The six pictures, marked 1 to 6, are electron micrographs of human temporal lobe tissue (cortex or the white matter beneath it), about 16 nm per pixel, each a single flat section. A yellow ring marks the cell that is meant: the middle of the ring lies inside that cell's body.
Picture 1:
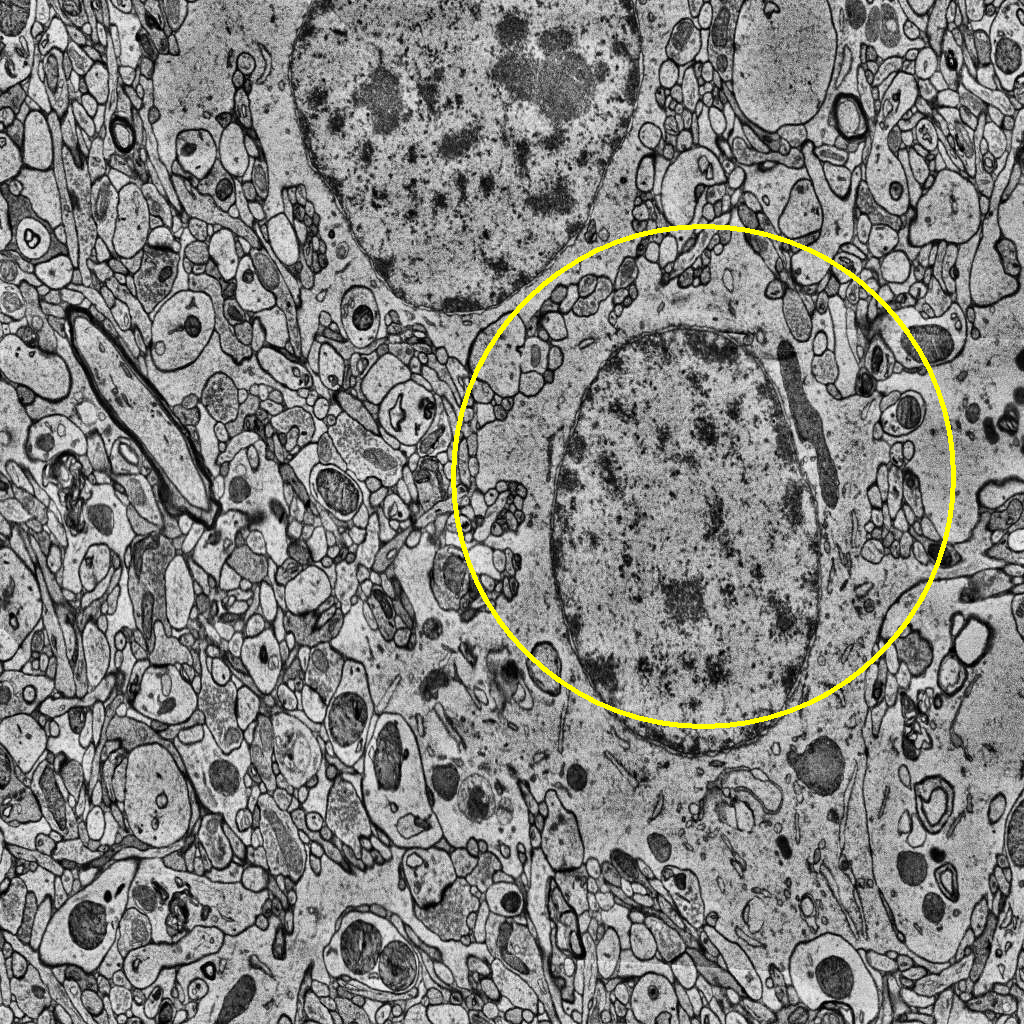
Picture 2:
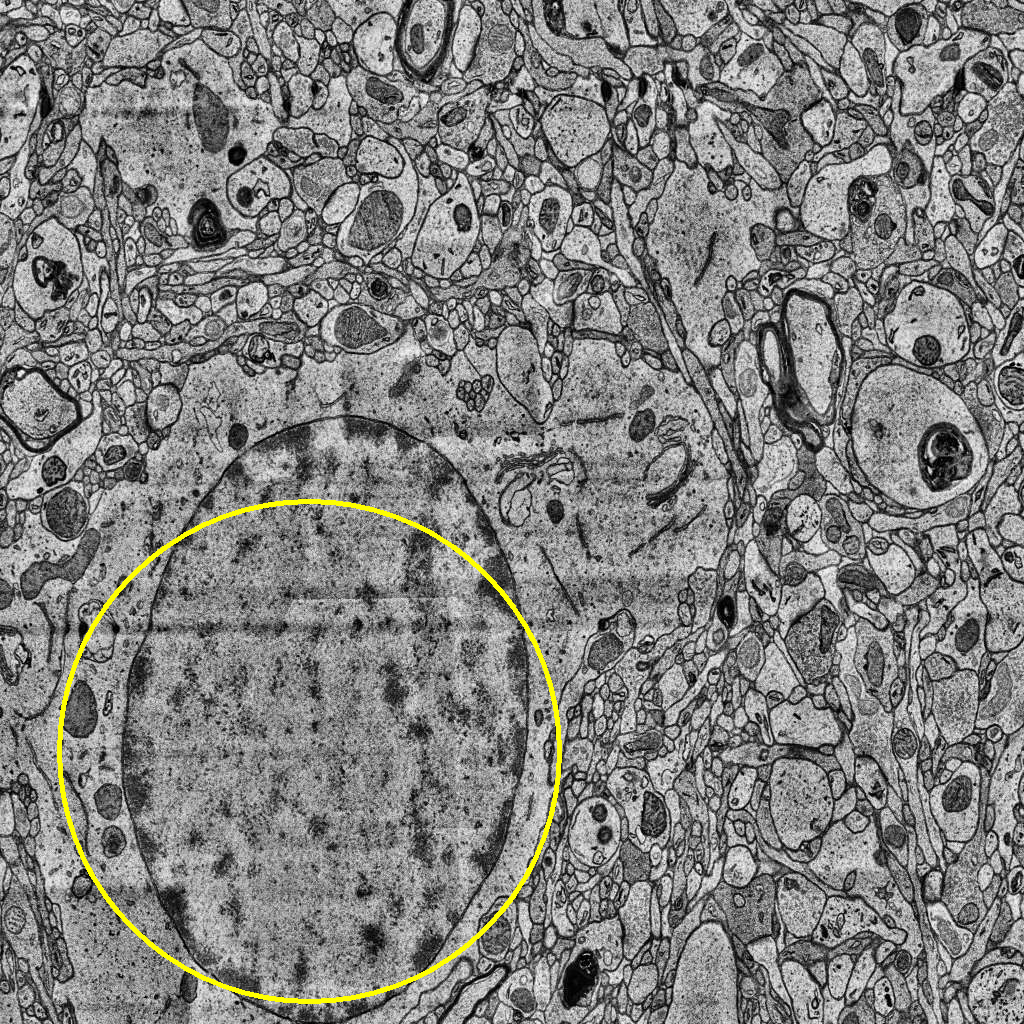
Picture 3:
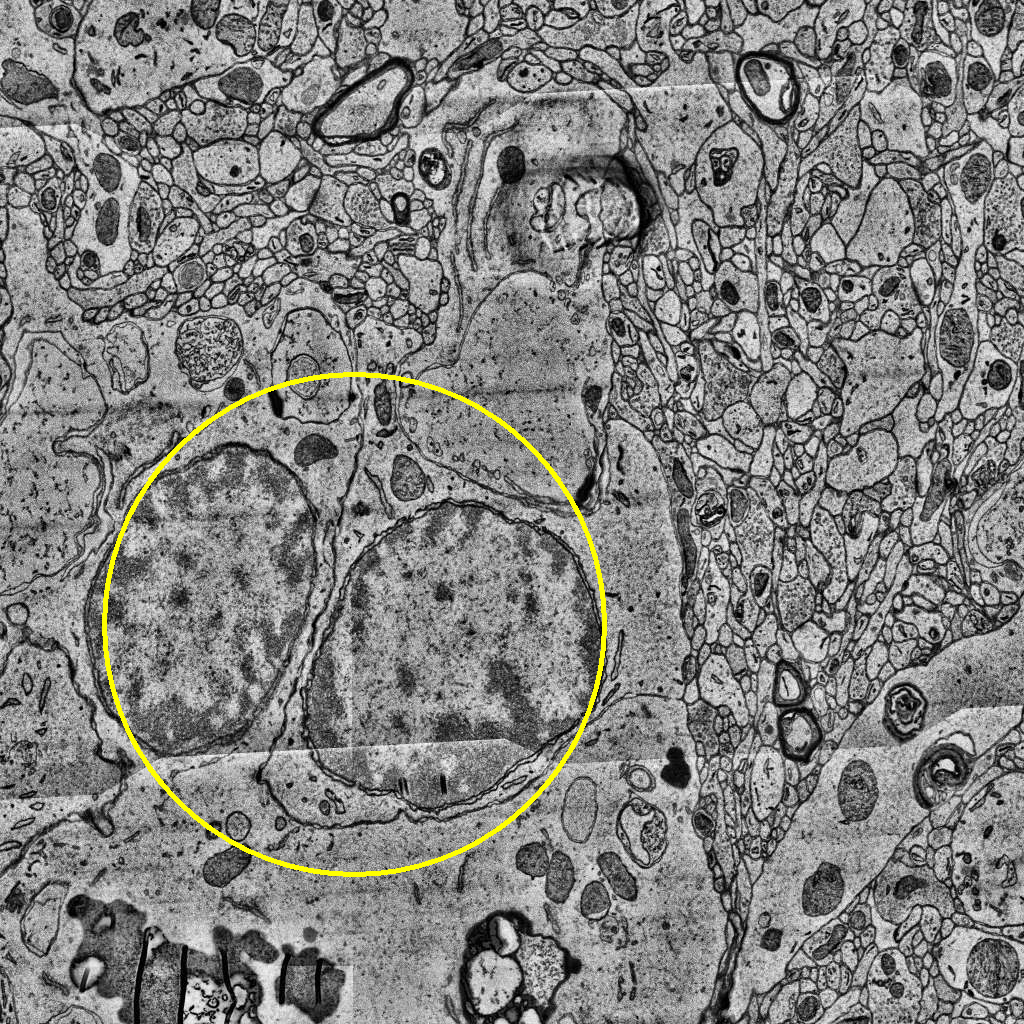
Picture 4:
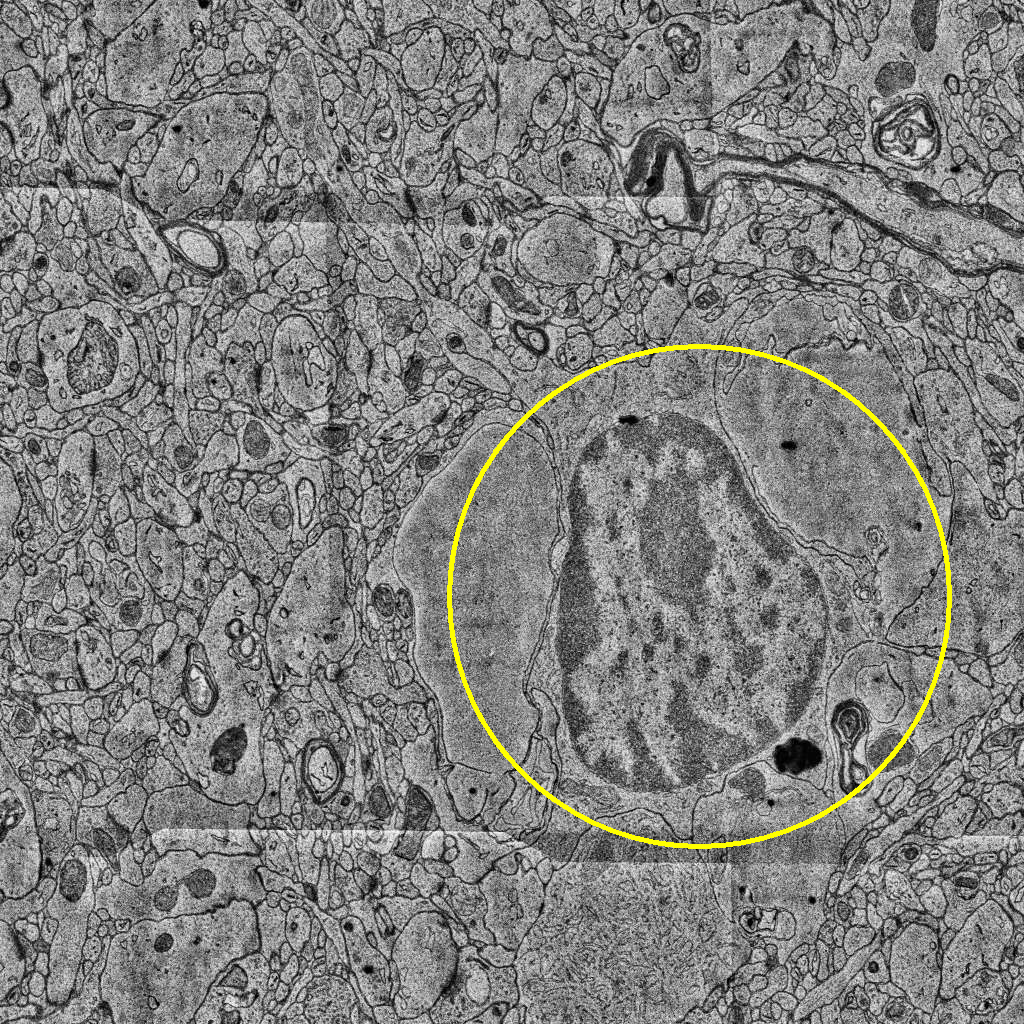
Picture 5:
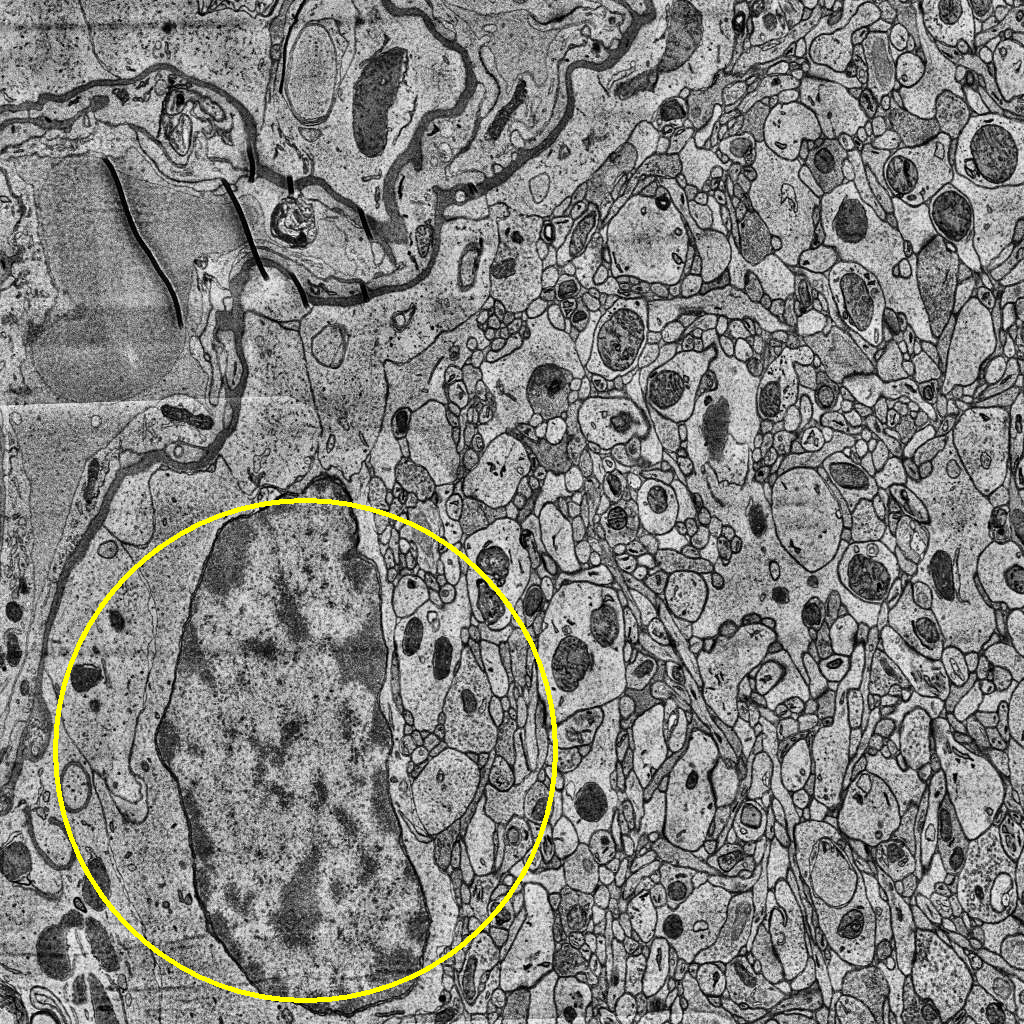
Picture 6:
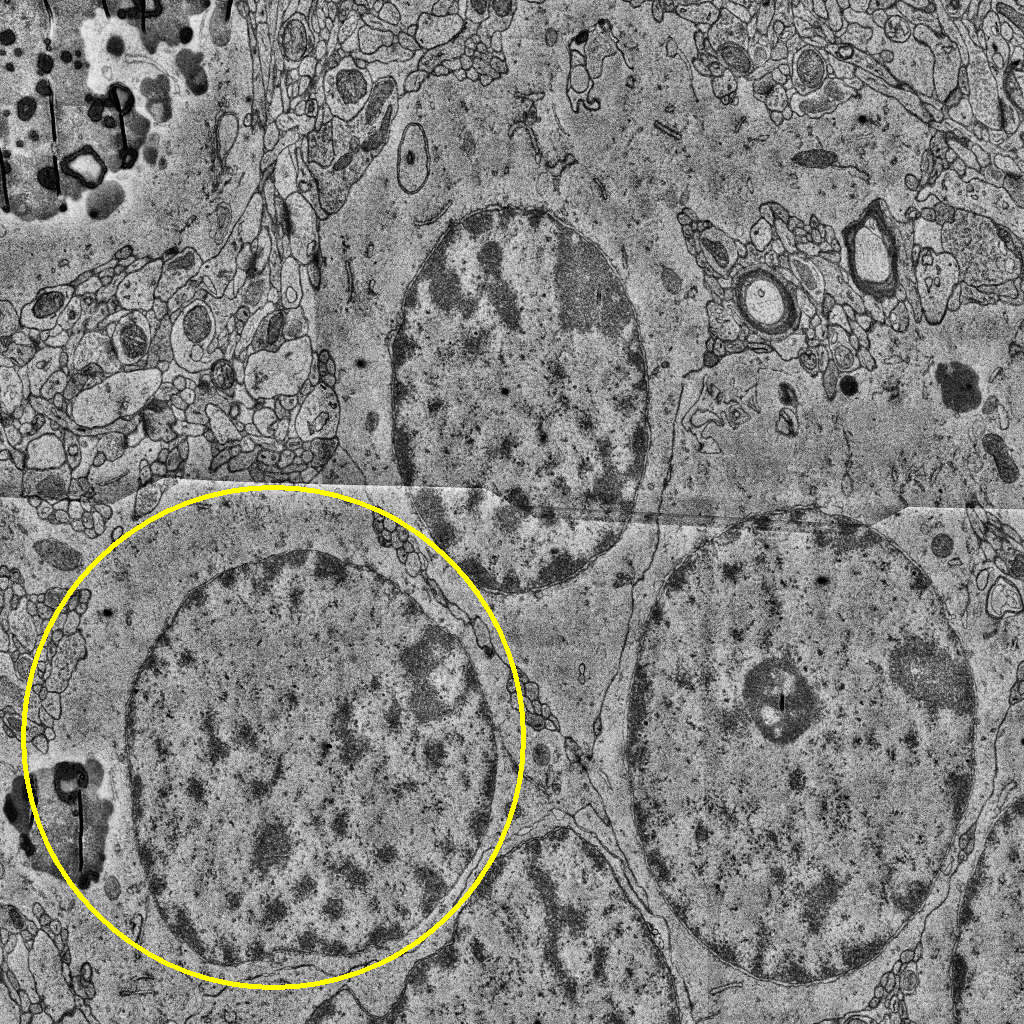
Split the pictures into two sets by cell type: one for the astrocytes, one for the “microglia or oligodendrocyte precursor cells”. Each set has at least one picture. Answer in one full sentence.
Pictures 1, 2 and 6 show astrocytes; pictures 3, 4 and 5 show “microglia or oligodendrocyte precursor cells”.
